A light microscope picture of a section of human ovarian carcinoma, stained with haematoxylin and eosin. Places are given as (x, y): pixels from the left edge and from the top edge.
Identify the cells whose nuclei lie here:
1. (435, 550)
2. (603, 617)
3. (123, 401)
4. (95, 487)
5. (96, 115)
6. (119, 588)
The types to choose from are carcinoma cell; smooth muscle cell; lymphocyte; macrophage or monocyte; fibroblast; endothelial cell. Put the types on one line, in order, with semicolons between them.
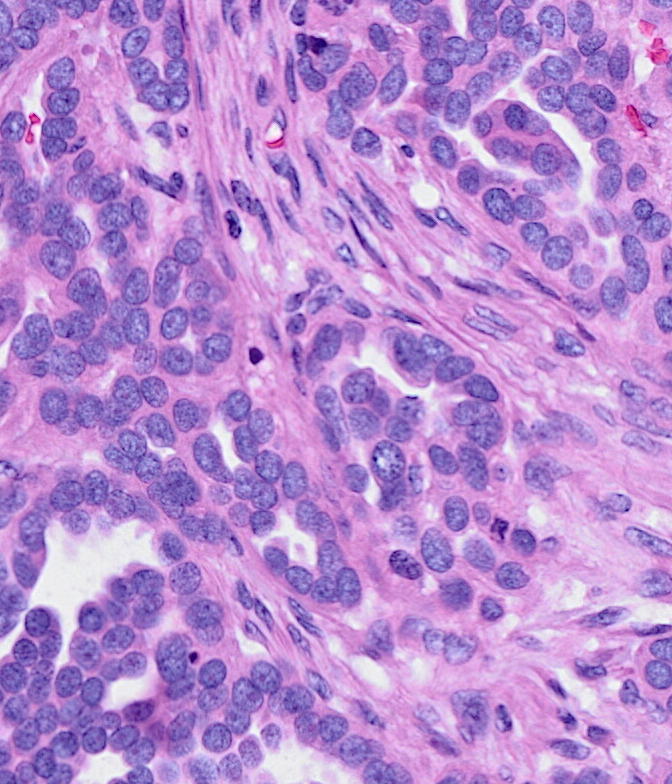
carcinoma cell; fibroblast; carcinoma cell; carcinoma cell; fibroblast; carcinoma cell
